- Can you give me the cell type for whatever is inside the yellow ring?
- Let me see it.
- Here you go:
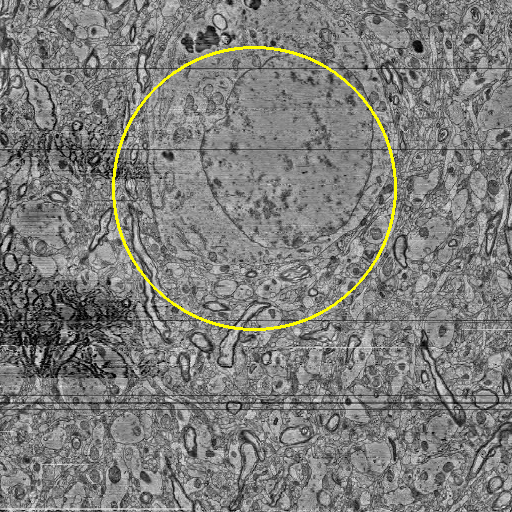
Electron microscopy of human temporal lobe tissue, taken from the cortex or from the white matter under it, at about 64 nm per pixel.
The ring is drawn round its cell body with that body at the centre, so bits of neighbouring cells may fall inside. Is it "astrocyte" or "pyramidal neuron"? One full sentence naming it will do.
The cell body in the middle of the ring in this picture belongs to a pyramidal neuron.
